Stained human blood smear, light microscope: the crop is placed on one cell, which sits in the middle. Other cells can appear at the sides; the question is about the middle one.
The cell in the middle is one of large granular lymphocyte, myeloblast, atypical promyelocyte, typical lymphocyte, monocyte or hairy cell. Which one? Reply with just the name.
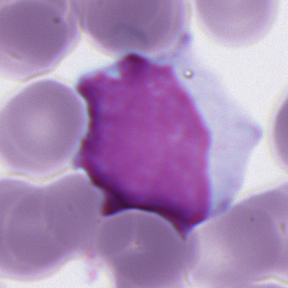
typical lymphocyte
